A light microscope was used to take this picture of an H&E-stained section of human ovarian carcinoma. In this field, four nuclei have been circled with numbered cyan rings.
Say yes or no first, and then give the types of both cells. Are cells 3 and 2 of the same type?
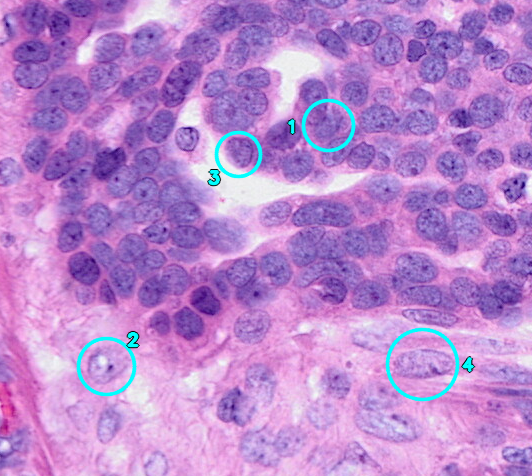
No, in this section cell 3 is a carcinoma cell and cell 2 is a fibroblast.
